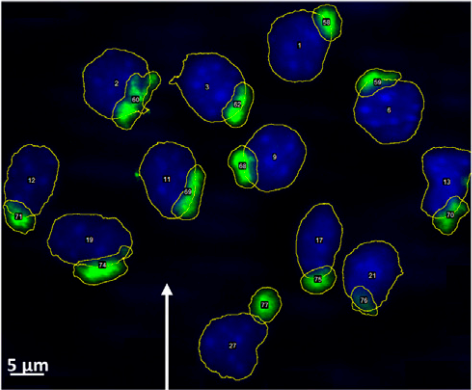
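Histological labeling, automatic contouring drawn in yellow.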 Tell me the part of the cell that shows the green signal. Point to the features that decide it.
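Golgi apparatus. Small compact green patches sit against one side of each blue body. Each green patch forms a cap or crescent at the edge of a blue body rather than filling the cell.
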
